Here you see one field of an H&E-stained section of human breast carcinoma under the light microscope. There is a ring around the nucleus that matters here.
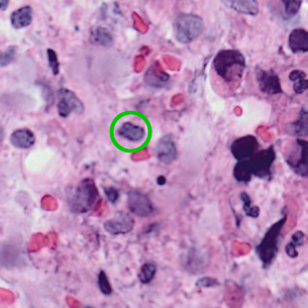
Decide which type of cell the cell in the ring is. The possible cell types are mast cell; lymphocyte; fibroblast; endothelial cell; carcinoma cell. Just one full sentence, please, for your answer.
In the tissue at hand, the cell in the ring is a mast cell.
